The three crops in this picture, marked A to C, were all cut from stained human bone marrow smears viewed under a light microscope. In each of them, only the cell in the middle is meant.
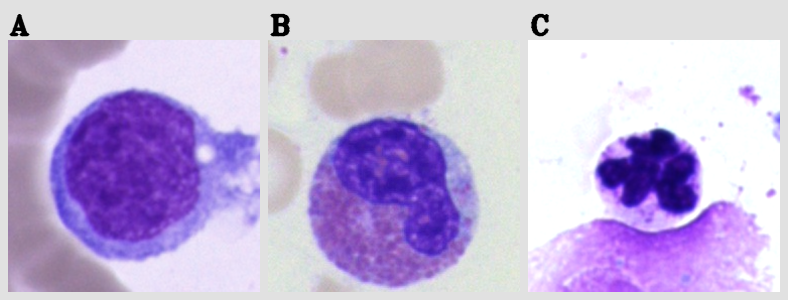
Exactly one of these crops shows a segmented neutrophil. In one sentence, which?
In this set, crop C is the one showing a segmented neutrophil.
